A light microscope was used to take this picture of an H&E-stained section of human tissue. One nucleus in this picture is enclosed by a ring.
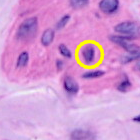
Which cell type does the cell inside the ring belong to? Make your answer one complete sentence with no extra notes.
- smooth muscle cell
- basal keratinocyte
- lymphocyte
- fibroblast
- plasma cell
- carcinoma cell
In the tissue under study, the cell inside the ring is a smooth muscle cell.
